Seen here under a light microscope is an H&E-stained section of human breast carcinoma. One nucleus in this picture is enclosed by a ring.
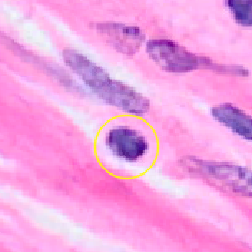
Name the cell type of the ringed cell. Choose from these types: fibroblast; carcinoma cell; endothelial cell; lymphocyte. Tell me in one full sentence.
Microscopically, the ringed cell is categorized as a lymphocyte.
